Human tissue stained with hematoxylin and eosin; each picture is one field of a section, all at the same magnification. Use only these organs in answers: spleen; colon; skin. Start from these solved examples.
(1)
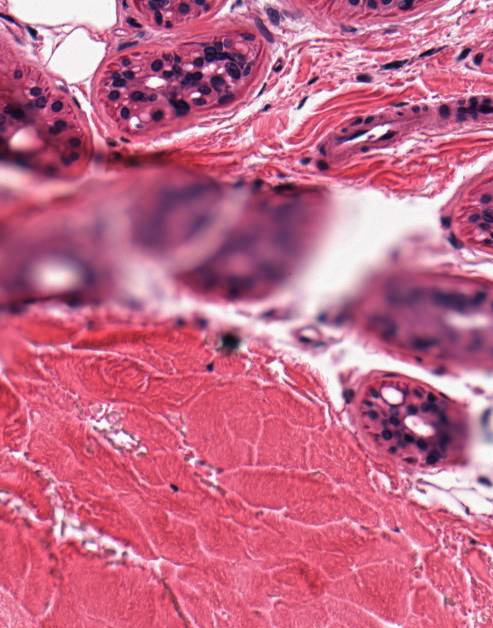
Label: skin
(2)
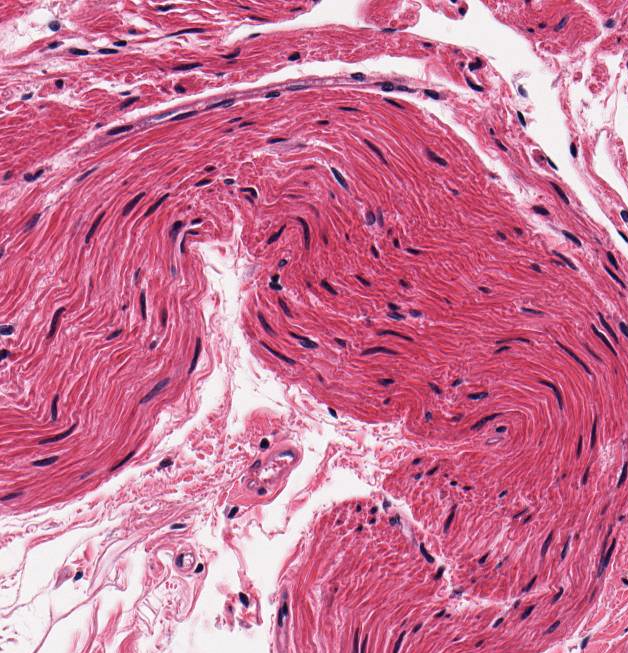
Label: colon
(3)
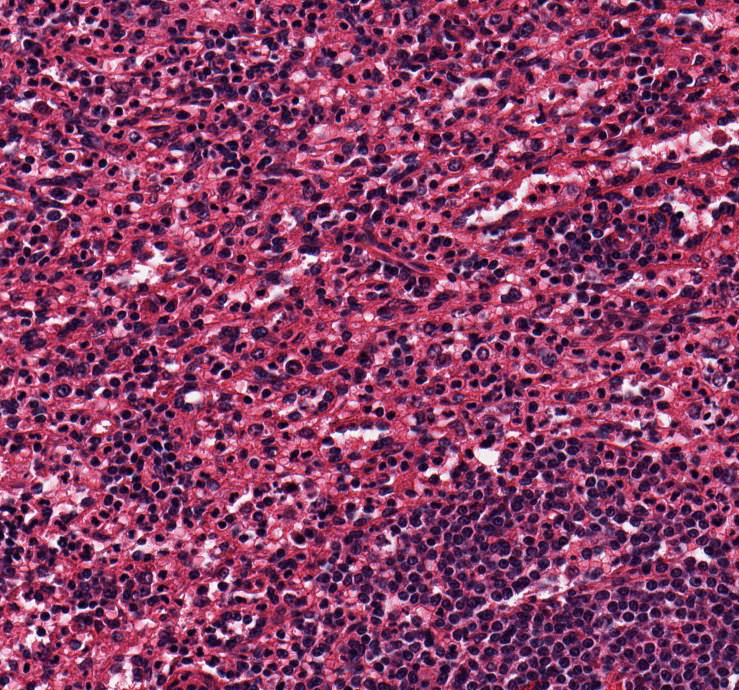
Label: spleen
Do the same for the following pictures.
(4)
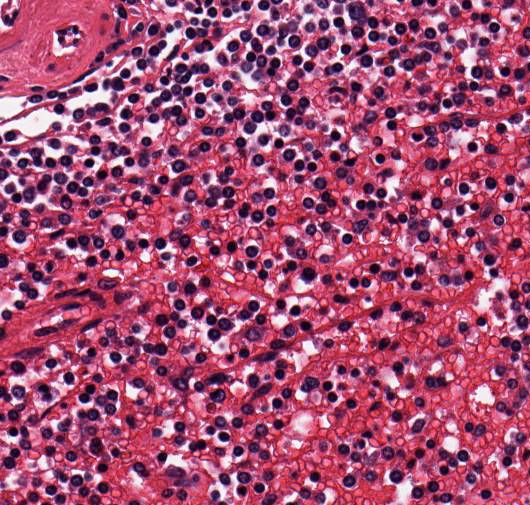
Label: spleen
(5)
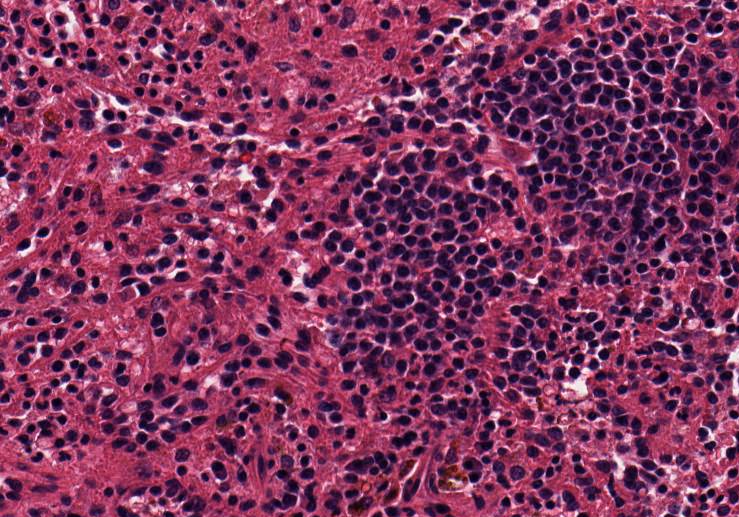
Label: spleen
